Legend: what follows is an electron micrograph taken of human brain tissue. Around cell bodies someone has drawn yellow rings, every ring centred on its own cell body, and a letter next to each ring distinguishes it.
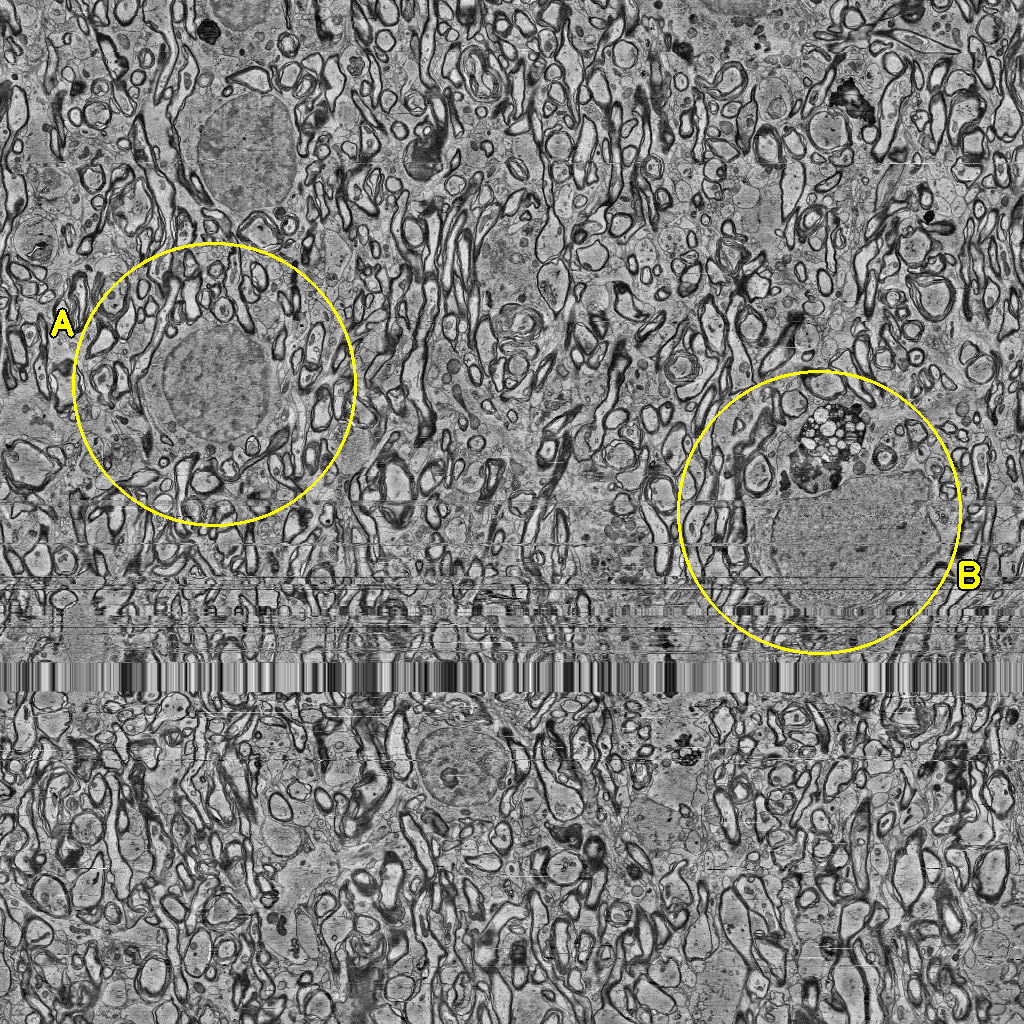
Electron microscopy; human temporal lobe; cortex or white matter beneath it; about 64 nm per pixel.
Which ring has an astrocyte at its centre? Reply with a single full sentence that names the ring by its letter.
Ring B is the one centred on the cell asked for in the picture.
